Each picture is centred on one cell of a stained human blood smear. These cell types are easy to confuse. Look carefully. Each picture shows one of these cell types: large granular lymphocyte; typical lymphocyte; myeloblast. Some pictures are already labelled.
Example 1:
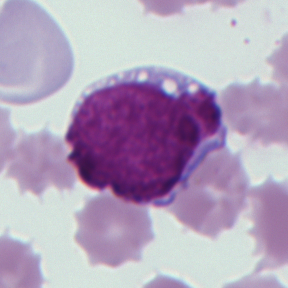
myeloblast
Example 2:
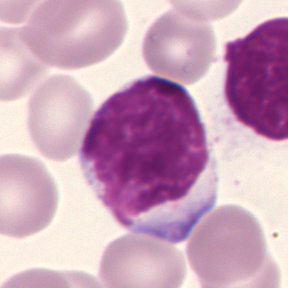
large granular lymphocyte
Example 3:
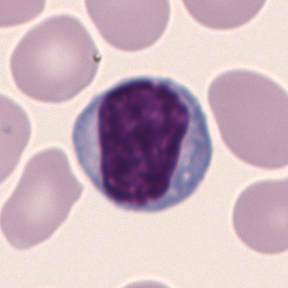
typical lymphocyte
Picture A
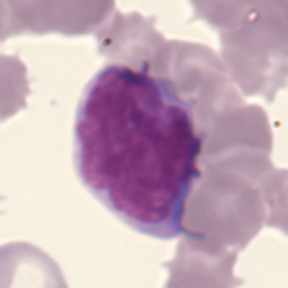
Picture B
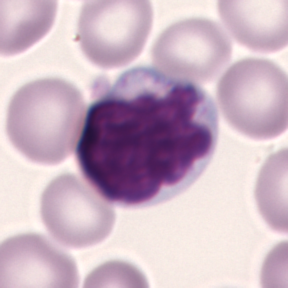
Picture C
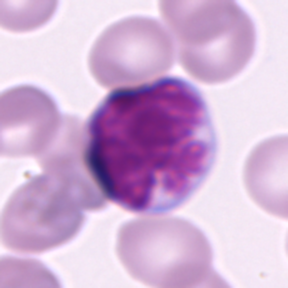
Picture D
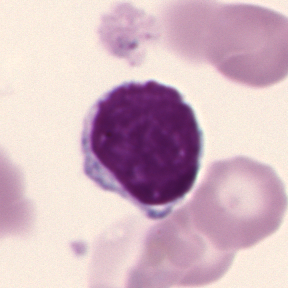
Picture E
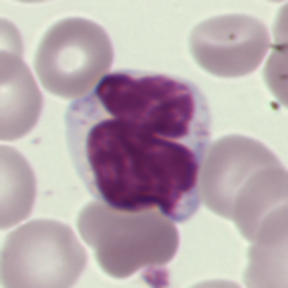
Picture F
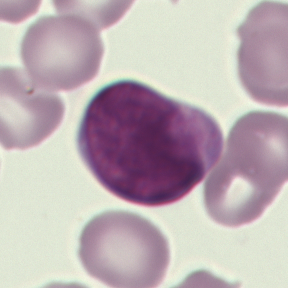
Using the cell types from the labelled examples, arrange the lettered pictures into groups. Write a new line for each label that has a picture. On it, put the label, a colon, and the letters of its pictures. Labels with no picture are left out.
large granular lymphocyte: B, C, E
typical lymphocyte: D
myeloblast: A, F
